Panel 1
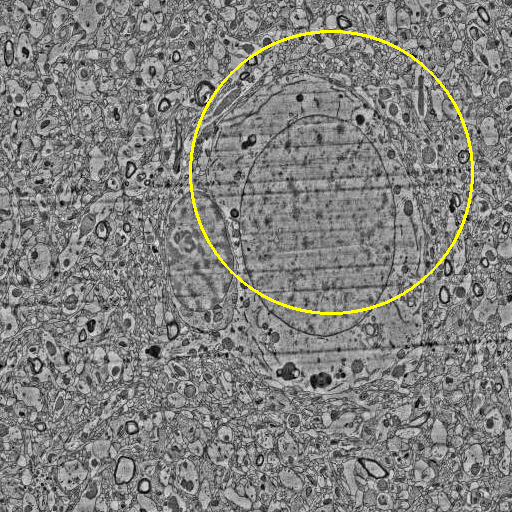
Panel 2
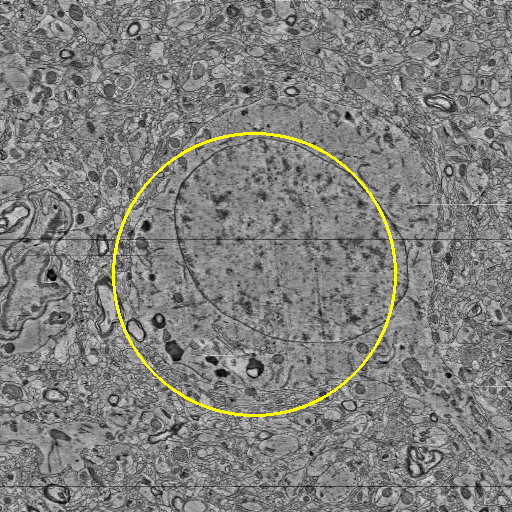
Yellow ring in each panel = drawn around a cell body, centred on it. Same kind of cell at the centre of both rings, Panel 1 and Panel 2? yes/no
yes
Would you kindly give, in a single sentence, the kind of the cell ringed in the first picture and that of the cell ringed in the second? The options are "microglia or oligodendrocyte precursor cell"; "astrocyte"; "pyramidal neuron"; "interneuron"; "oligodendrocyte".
Each of the two rings is centred on a pyramidal neuron.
